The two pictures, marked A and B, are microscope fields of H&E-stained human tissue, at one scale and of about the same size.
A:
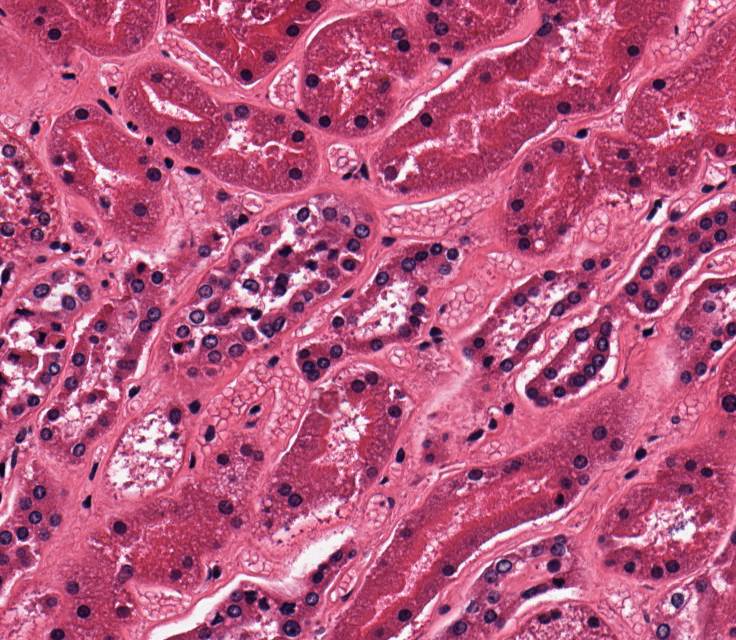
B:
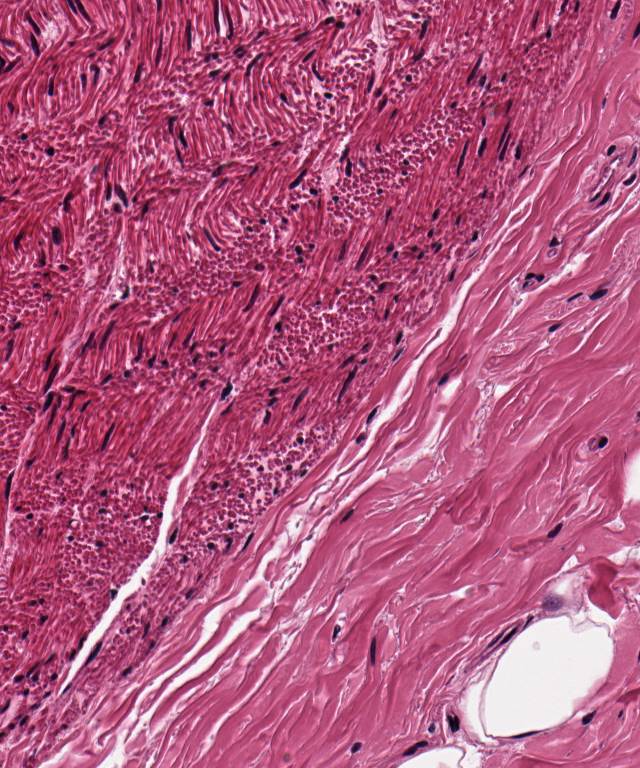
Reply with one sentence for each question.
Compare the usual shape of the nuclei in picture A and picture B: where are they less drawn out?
On the whole the nuclei of picture A are rounder than those of picture B.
